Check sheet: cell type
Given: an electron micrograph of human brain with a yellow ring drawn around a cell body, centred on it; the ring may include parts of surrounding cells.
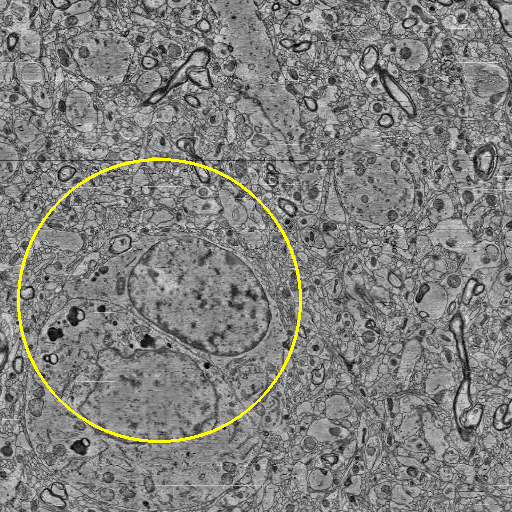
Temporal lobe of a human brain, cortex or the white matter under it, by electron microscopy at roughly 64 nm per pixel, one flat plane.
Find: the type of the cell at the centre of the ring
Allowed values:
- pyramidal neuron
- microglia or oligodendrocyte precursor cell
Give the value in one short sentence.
Here the ringed cell is a microglial cell or oligodendrocyte precursor cell.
